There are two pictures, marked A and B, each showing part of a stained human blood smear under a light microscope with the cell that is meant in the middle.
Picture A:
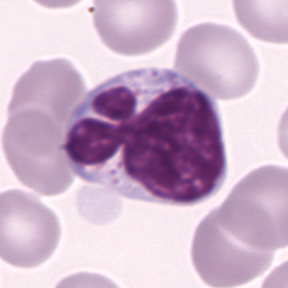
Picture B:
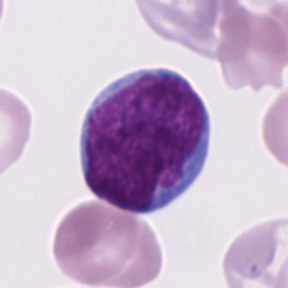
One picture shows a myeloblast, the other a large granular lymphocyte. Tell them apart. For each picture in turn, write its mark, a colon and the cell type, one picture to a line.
A: large granular lymphocyte
B: myeloblast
